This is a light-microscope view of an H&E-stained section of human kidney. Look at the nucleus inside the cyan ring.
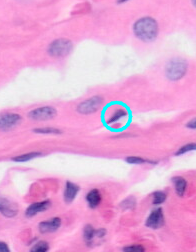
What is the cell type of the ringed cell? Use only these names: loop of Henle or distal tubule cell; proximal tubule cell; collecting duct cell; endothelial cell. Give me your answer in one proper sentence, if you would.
In this section, the ringed cell is an endothelial cell.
